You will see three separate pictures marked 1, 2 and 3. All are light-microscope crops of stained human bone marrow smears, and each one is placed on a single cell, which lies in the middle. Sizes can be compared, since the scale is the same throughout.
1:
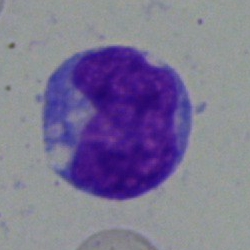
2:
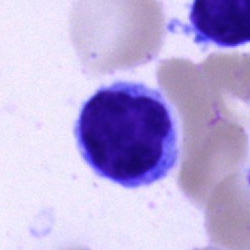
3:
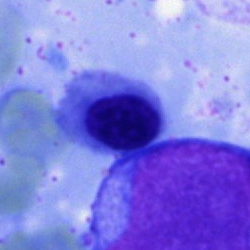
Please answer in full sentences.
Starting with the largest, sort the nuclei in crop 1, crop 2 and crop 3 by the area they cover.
From the largest down, the order is 1, 2, 3.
